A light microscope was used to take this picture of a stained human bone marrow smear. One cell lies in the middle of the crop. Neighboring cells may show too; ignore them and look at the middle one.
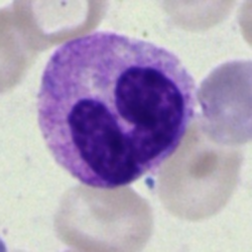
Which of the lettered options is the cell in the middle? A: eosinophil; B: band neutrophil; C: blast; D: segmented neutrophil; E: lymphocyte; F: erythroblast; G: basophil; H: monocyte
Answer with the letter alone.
D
